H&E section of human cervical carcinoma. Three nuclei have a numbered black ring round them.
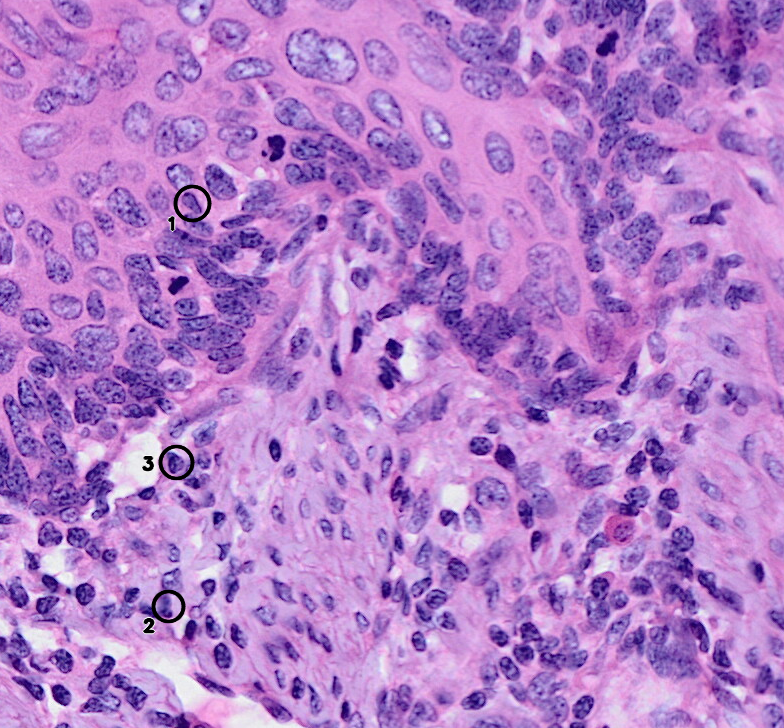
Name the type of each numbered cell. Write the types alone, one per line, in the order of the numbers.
squamous carcinoma cell
lymphocyte
lymphocyte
